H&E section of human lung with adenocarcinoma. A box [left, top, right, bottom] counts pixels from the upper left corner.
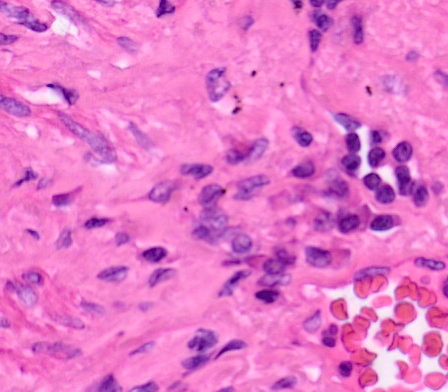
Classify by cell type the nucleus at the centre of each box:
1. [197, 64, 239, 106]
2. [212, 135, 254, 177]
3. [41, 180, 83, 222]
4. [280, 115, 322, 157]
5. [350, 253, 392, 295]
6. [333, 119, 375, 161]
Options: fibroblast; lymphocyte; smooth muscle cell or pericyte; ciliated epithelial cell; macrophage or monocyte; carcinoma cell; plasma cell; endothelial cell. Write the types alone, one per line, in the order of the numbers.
fibroblast
plasma cell
plasma cell
lymphocyte
endothelial cell
lymphocyte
